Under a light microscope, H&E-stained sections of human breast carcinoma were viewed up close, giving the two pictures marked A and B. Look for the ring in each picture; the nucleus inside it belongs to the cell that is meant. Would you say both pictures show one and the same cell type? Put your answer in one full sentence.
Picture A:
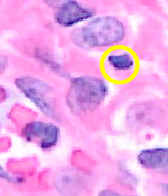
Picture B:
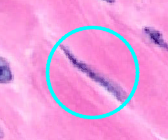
No; the cell in picture A is a lymphocyte, while the one in picture B is a fibroblast.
